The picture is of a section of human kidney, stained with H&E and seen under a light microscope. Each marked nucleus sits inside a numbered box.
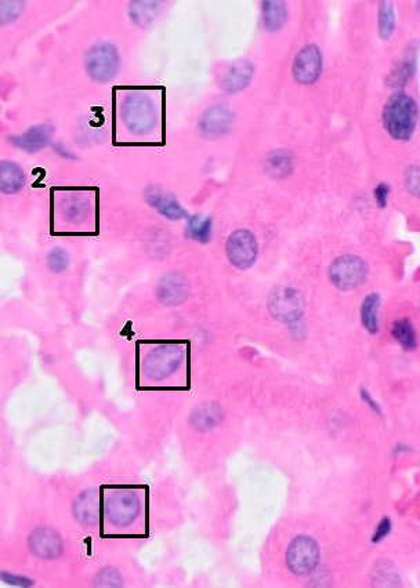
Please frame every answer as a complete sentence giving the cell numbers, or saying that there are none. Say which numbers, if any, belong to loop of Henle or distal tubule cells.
Of the numbered nuclei, only the one labelled 3 belongs to a loop of Henle or distal tubule cell.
